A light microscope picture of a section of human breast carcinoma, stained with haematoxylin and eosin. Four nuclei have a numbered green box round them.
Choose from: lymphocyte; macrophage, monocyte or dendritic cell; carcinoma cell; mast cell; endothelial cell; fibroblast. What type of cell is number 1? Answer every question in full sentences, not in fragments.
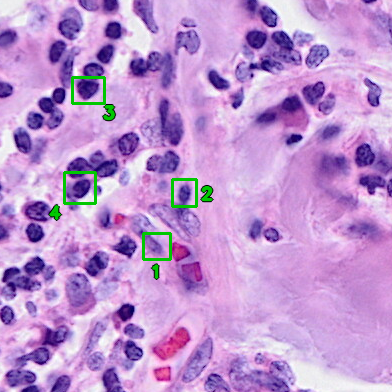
The cell that goes by number 1 is an endothelial cell.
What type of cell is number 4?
Corresponding to a lymphocyte is the cell labelled 4.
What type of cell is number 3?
The cell given label 3 is a lymphocyte.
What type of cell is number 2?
The label 2 in this section denotes a lymphocyte.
